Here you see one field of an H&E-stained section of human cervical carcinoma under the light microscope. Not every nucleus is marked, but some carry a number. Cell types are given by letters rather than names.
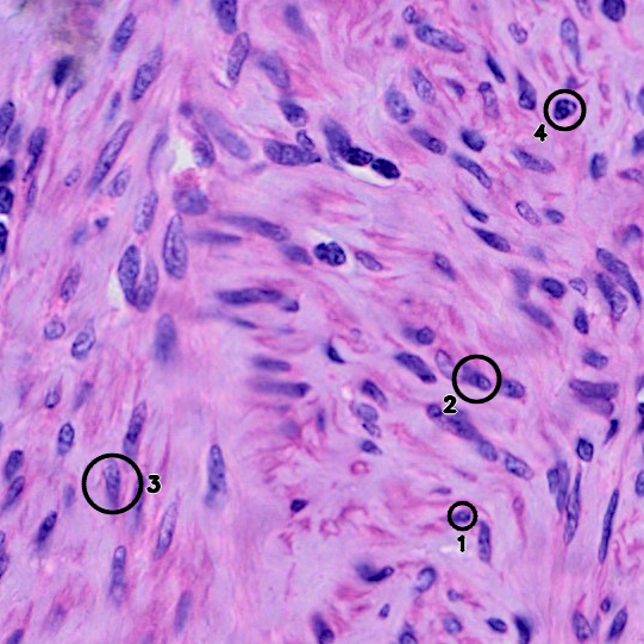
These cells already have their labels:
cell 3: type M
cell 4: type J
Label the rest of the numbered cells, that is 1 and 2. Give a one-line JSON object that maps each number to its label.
{"1": "type M", "2": "type M"}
